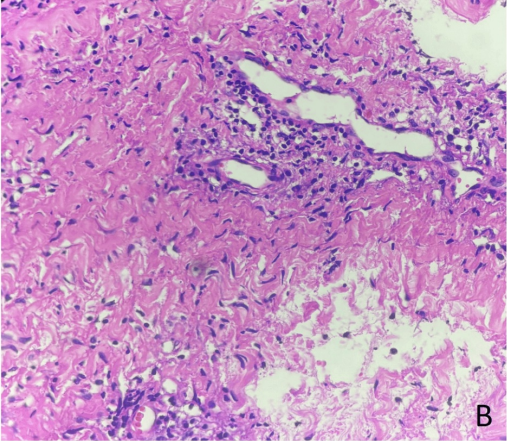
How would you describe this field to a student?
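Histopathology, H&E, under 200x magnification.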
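This is fibrous tissue with a chronic inflammatory infiltrate gathered around small blood vessels. Most of the field is made of wavy pink collagen bundles, between which lie scattered slender, spindle-shaped nuclei. Toward the top and middle run several thin-walled, open vessels with flat lining cells. Around these vessels the small, dark, round nuclei of inflammatory cells are packed much more closely than in the surrounding collagen. Pale, loose gaps appear in the lower part of the field.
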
